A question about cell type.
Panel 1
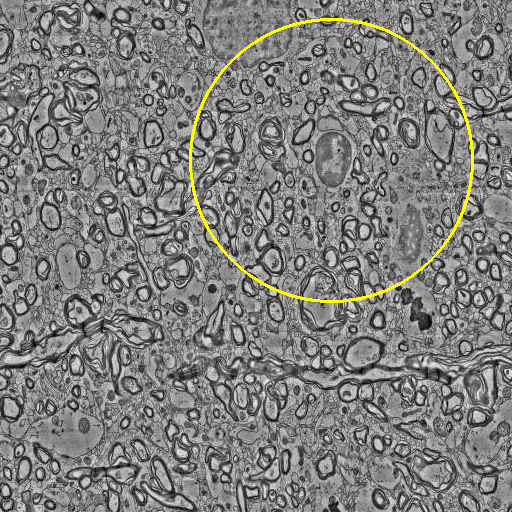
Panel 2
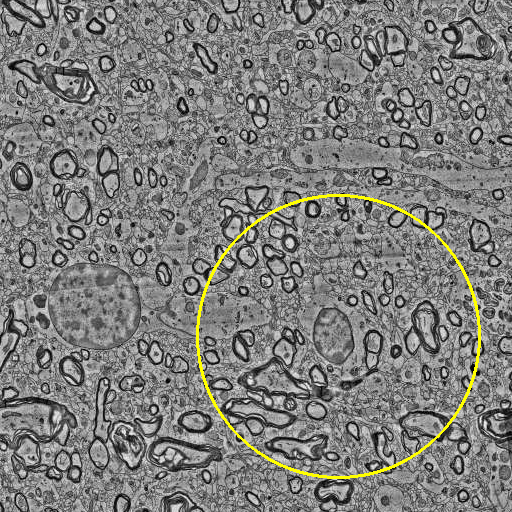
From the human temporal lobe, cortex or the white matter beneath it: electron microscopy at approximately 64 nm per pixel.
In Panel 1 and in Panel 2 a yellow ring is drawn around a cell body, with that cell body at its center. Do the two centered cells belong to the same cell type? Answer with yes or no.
yes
